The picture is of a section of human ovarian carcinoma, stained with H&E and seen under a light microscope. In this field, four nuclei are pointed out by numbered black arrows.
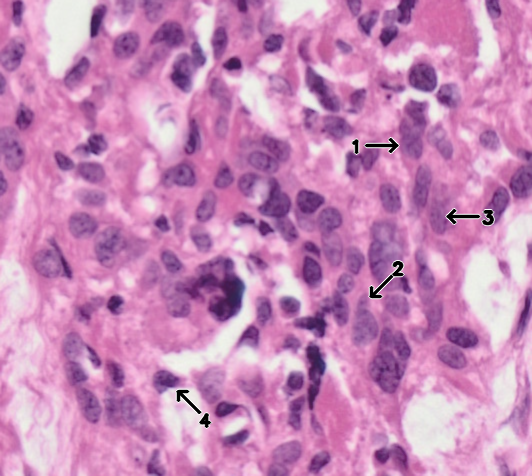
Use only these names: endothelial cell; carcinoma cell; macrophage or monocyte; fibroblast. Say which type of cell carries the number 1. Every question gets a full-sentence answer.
The cell indicated by marker 1 is a carcinoma cell in this section.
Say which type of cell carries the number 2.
The numbered cell 2 is identified here as a carcinoma cell.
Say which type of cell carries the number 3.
Here, the cell given the number 3 is a carcinoma cell.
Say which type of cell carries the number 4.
The cell that goes by number 4 is a macrophage or monocyte.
